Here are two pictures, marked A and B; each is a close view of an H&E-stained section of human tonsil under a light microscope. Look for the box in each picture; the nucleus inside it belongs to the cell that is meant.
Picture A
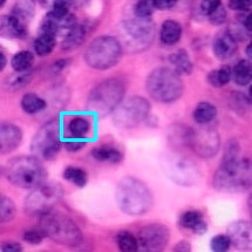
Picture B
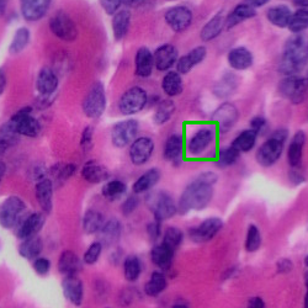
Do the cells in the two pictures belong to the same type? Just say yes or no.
yes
